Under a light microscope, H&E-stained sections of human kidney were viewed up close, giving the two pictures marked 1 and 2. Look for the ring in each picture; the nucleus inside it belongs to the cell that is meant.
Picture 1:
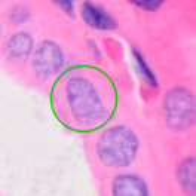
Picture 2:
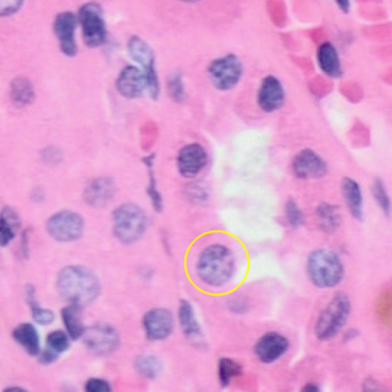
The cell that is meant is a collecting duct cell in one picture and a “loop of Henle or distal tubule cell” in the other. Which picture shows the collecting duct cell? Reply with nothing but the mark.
1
